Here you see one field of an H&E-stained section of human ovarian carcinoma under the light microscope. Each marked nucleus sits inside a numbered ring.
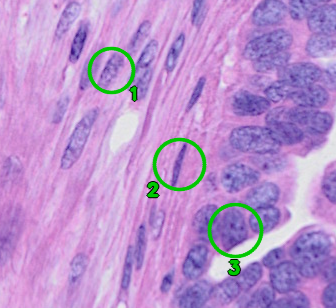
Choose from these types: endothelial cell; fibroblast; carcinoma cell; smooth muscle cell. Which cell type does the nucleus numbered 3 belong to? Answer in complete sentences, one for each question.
The numbered cell 3 is identified here as a carcinoma cell.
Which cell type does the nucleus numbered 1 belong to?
The cell referred to as 1 is a fibroblast.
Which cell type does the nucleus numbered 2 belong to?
Cell 2 should be recorded as a fibroblast.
